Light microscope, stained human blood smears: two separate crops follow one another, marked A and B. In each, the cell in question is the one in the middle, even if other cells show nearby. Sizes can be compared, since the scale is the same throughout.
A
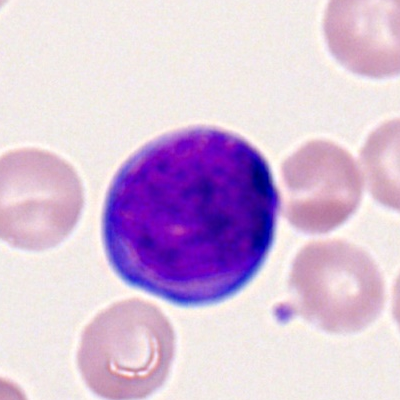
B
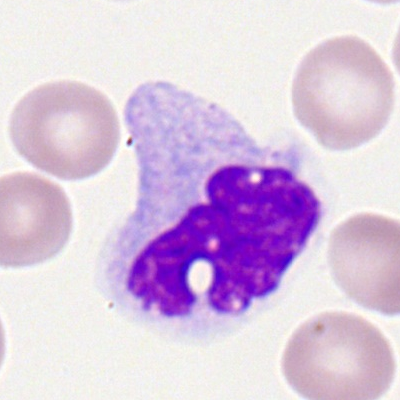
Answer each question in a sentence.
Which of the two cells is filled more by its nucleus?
The nucleus fills more of the cell in crop A than in crop B.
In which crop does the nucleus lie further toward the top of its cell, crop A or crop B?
It is the nucleus in crop A that lies further toward the top of its cell.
